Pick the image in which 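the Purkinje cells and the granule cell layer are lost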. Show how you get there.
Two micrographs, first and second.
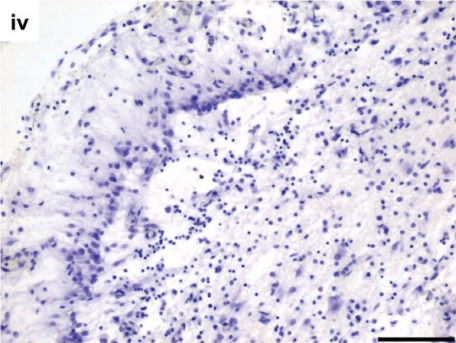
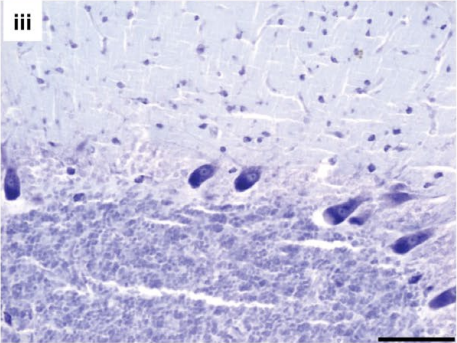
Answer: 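First image: no row of large cell bodies and no dense granular layer, only loose disorganised tissue with scattered nuclei. Second image: several large flask-shaped cell bodies sit above a broad, cell-rich granular layer.
Answer: the first image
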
